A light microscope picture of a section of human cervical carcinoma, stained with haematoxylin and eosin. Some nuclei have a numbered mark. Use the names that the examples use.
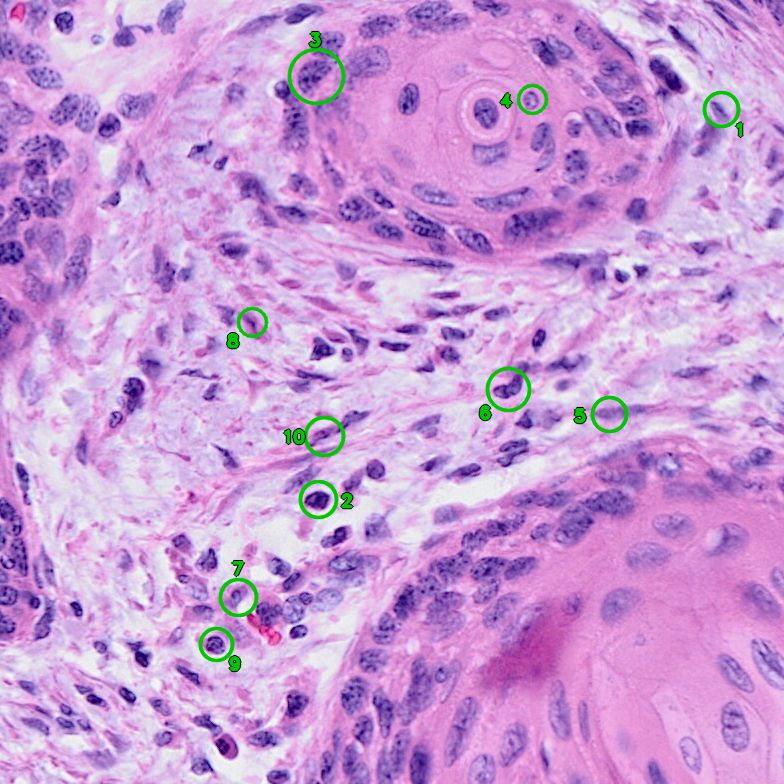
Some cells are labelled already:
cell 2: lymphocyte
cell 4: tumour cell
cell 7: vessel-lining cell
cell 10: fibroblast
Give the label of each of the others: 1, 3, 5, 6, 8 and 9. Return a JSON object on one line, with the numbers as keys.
{"1": "fibroblast", "3": "tumour cell", "5": "fibroblast", "6": "lymphocyte", "8": "fibroblast", "9": "lymphocyte"}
